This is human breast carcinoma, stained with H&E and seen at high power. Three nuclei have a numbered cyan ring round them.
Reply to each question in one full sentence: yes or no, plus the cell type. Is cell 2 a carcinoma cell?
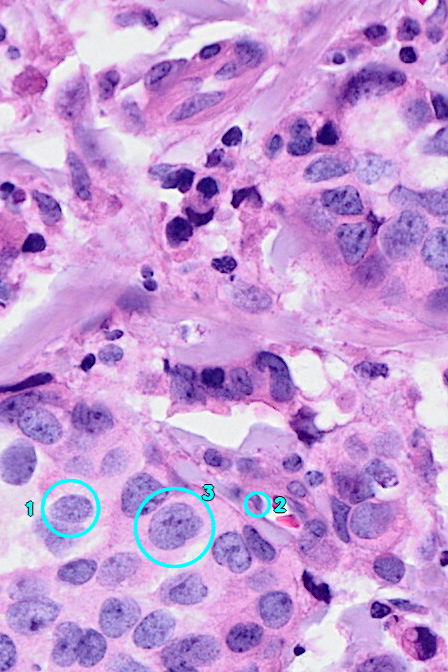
No, number 2 does not mark a carcinoma cell; it marks an endothelial cell.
